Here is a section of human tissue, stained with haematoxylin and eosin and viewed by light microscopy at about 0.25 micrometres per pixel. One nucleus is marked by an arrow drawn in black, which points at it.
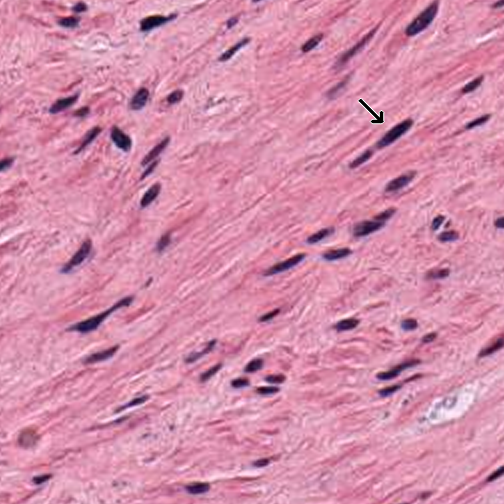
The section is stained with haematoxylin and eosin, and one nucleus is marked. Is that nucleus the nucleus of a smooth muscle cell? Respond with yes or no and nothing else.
yes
